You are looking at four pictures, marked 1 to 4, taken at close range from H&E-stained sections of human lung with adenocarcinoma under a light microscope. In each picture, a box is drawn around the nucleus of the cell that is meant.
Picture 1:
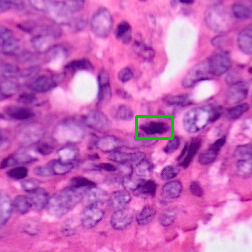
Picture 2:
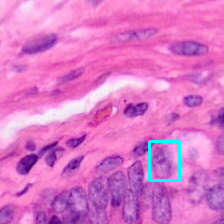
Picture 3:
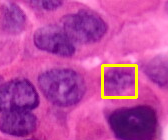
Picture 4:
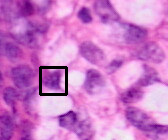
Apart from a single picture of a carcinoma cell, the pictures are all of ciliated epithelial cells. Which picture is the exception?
3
